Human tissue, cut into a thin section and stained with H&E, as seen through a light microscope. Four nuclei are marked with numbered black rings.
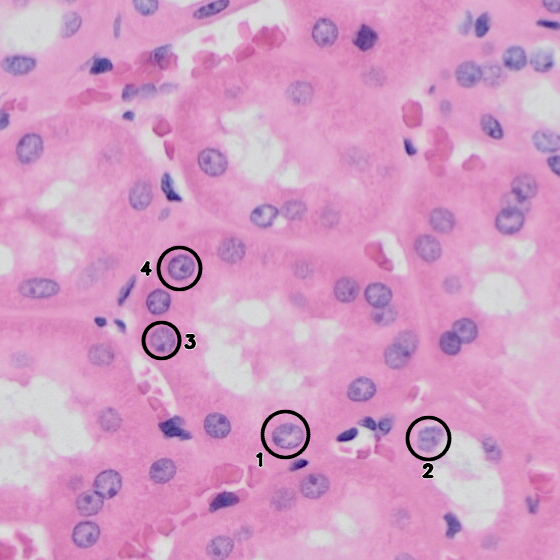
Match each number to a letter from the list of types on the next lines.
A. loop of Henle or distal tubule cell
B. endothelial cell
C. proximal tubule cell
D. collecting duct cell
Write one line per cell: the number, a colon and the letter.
1: C
2: A
3: C
4: C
